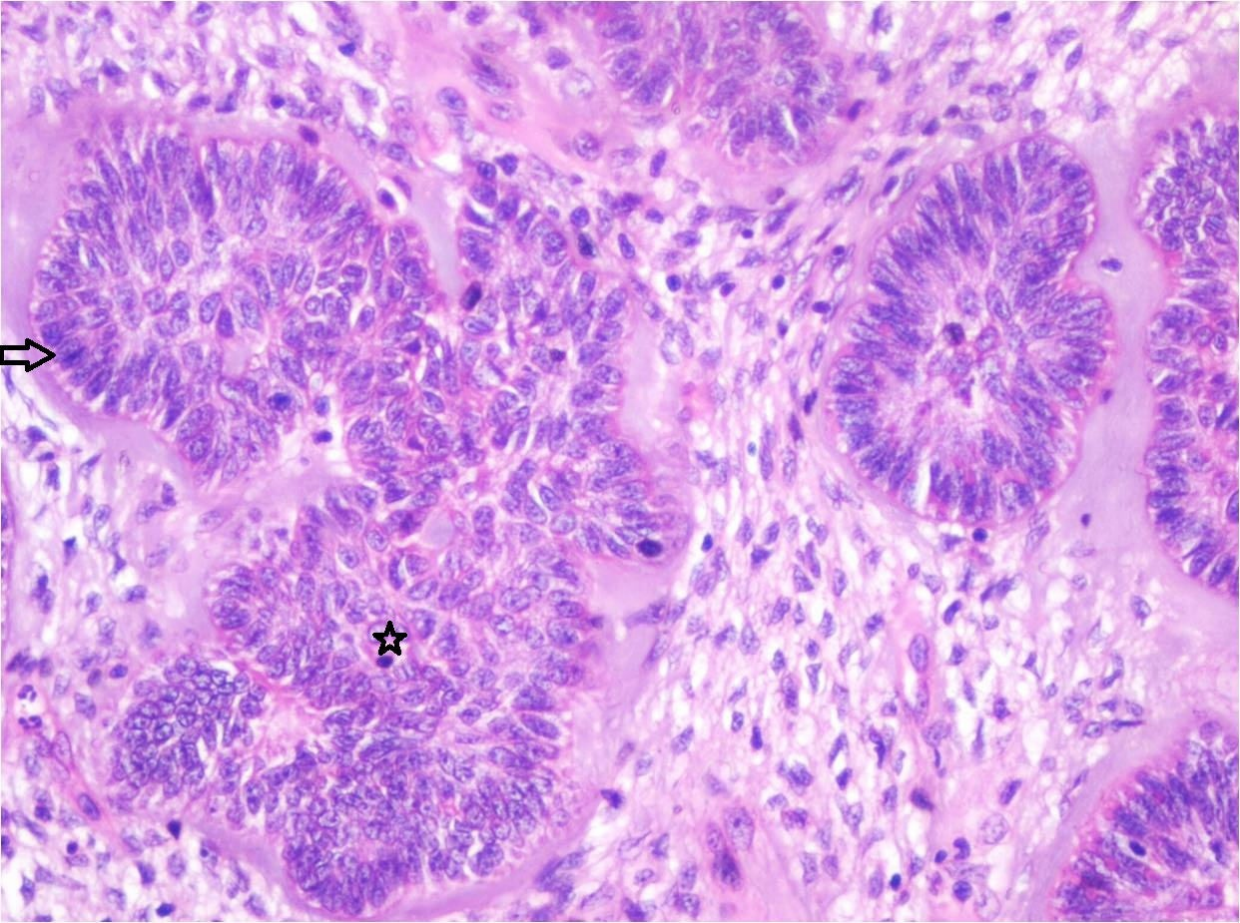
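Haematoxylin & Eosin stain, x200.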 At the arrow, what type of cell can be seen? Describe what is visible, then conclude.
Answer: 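The arrow points to the outer border of an epithelial nest. Tall columnar cells with dark, elongated nuclei are aligned in a palisade along that border.
Answer: tall columnar cells with hyperchromatic nuclei resembling ameloblasts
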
